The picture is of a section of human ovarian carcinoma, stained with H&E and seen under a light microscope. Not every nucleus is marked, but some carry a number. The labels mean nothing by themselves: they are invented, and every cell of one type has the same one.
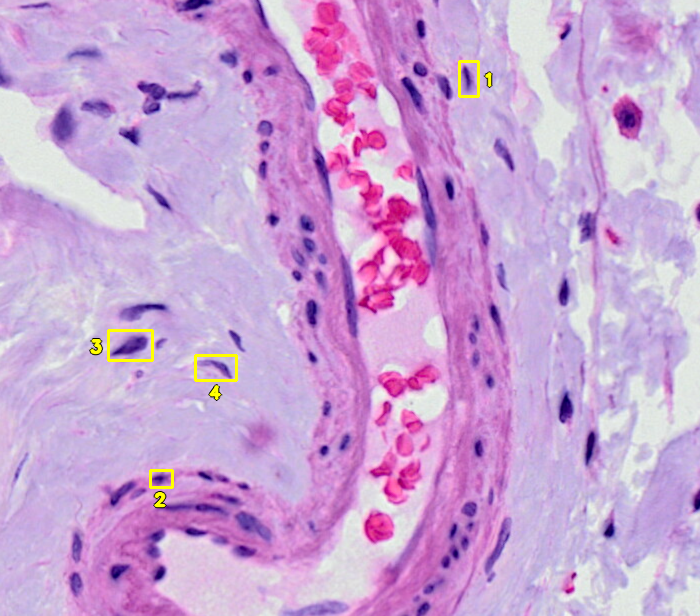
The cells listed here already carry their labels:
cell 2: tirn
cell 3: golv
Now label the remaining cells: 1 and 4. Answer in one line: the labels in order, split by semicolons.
golv; golv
